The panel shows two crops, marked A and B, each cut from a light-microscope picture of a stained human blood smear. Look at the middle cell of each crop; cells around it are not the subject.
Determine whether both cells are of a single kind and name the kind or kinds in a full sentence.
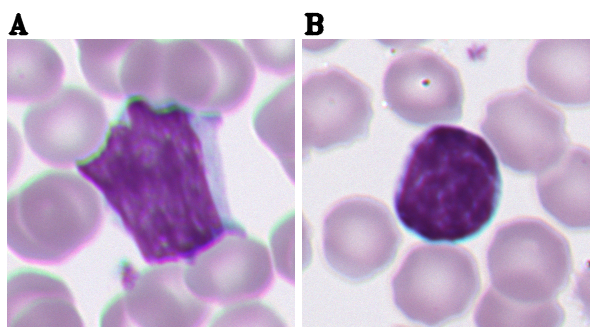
Yes, what both crops show at their centres are typical lymphocytes.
